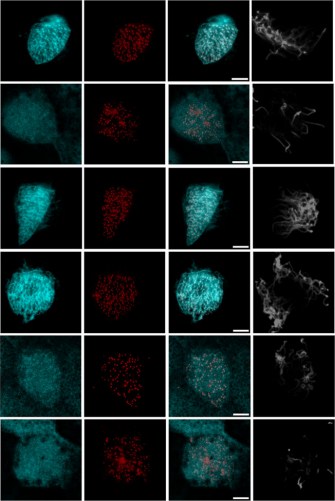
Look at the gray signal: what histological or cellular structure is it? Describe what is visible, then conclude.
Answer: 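Gray signal forms bundles of many long thin filaments. Each bundle arises from a single cell surface. On this evidence: multi-cilia.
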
